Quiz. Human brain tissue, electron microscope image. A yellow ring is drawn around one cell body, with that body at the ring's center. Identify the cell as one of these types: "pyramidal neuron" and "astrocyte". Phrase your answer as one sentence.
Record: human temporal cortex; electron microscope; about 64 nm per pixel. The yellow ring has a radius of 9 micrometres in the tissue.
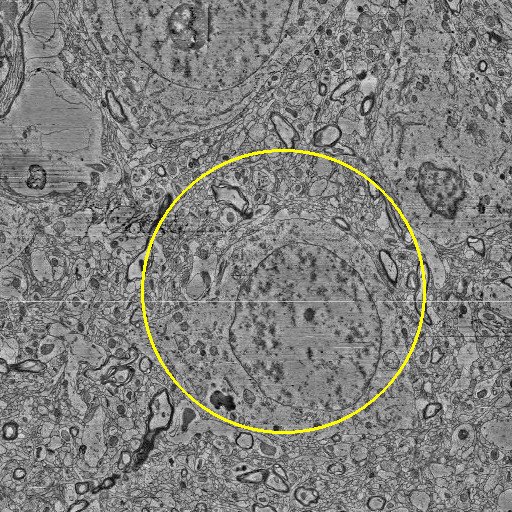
At the center of the ring sits a pyramidal neuron.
